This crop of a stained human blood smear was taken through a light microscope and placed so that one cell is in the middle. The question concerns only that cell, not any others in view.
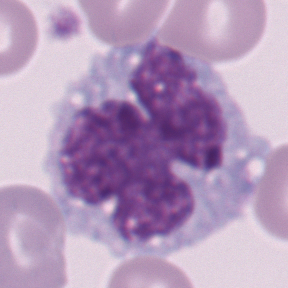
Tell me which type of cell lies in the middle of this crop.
monocyte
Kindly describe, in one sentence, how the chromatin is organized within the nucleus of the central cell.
Chromatin texture is fine, and coarse clumps are absent.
